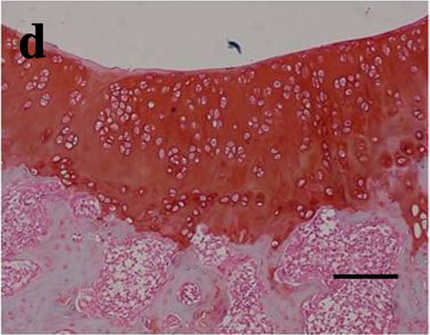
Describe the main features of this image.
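Articular cartilage over subchondral bone, the matrix stained an intense orange-red throughout its depth, with a smooth surface. Numerous rounded chondrocytes lie in clear lacunae, scattered near the surface and grouped in small clusters deeper down. Beneath the cartilage lie pale pink bone trabeculae enclosing marrow spaces.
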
